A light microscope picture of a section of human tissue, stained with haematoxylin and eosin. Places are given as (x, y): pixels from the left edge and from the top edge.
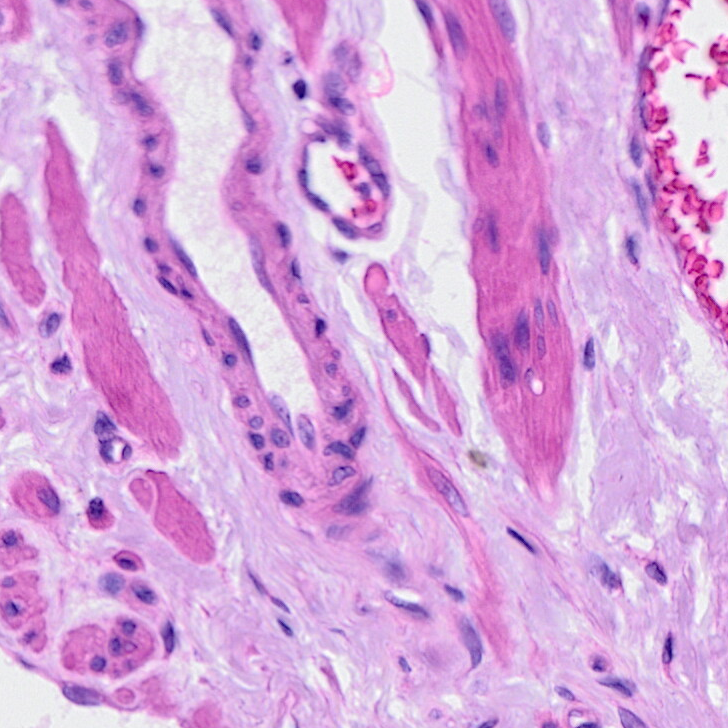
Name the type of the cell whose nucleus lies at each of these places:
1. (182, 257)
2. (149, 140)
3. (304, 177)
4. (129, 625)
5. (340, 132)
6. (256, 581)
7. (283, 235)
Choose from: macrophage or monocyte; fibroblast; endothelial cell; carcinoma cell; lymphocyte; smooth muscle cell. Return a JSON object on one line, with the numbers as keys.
{"1": "endothelial cell", "2": "smooth muscle cell", "3": "endothelial cell", "4": "smooth muscle cell", "5": "endothelial cell", "6": "fibroblast", "7": "smooth muscle cell"}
